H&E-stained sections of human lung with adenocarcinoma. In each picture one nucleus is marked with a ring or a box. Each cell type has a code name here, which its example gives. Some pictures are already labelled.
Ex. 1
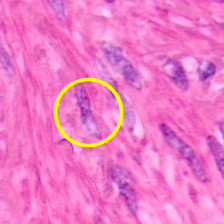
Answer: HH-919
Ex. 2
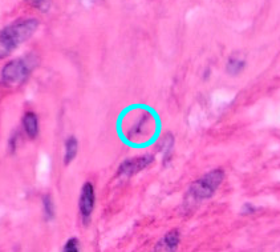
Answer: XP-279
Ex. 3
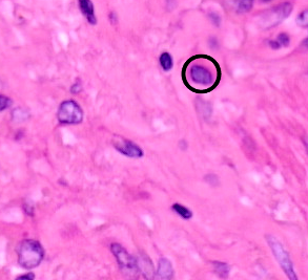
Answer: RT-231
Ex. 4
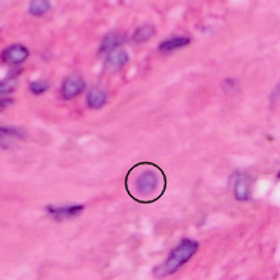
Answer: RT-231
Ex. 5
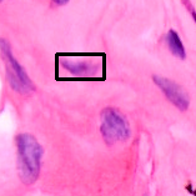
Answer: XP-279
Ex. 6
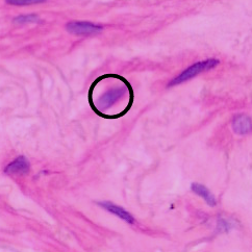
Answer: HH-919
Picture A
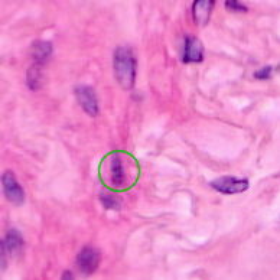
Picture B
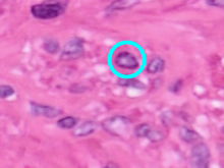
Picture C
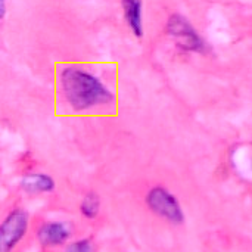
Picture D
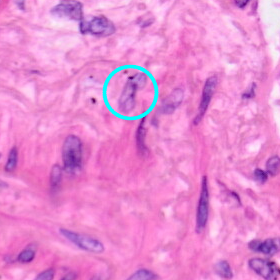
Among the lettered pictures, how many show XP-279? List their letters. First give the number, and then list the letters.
2, namely C, D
